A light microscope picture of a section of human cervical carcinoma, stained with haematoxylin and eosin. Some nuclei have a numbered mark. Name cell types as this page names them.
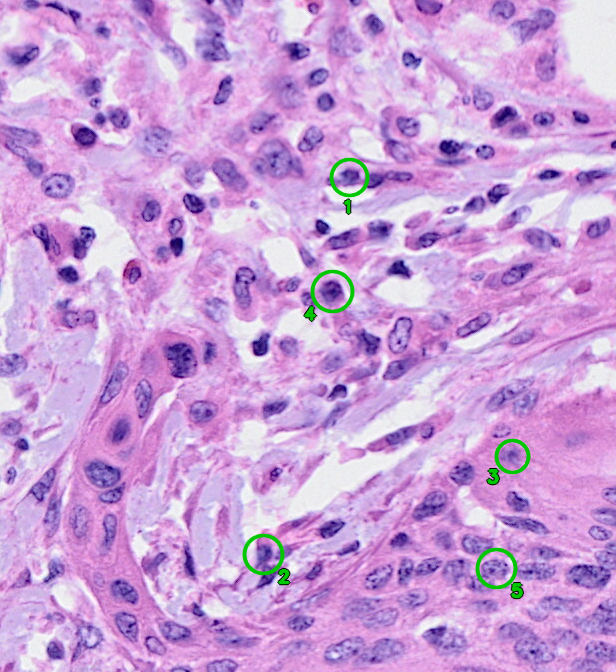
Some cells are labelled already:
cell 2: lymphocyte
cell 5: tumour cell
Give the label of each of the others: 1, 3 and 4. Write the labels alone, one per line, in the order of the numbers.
lymphocyte
tumour cell
lymphocyte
